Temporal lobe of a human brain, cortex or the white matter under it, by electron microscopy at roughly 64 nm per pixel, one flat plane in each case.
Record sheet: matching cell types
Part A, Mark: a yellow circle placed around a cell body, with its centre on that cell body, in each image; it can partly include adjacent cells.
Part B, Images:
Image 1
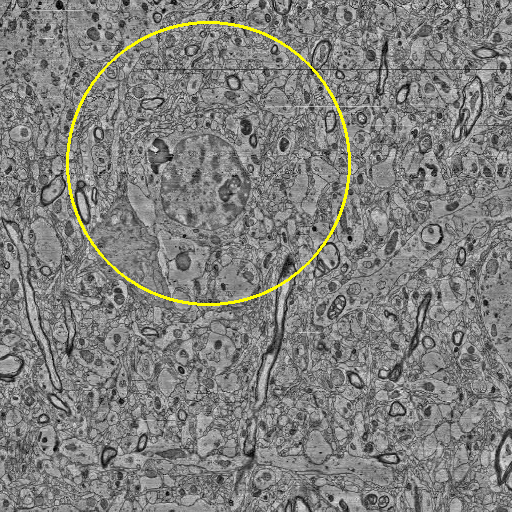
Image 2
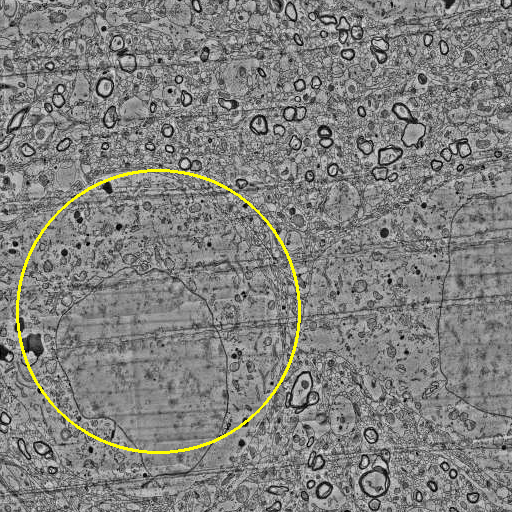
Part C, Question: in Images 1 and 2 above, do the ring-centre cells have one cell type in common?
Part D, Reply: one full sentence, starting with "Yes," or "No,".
No, the ring-centre cells of Image 1 and Image 2 are each of a separate cell type.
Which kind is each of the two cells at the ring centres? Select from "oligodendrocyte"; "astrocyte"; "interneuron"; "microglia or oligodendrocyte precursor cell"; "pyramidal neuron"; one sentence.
The cell at the centre of the ring is an oligodendrocyte in the first picture and a pyramidal neuron in the second.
